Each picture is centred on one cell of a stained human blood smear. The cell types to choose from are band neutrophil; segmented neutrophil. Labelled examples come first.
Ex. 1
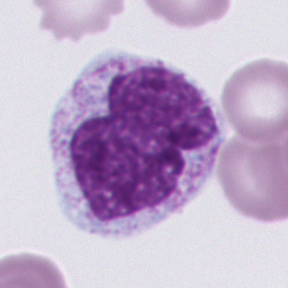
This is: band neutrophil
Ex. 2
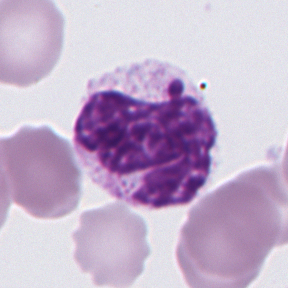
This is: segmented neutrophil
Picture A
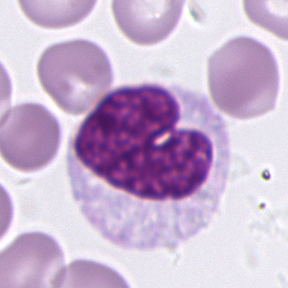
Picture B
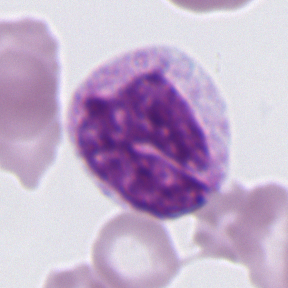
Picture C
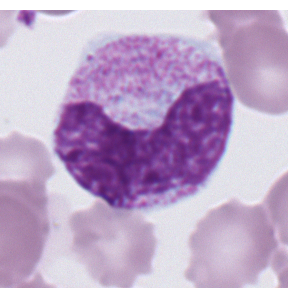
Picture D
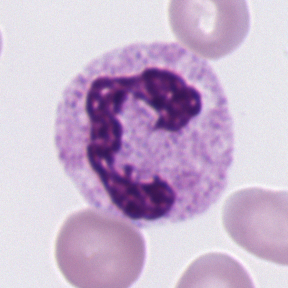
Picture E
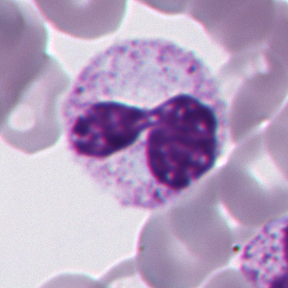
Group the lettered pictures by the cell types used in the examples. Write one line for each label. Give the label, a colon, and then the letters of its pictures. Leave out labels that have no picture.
band neutrophil: A, C
segmented neutrophil: B, D, E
